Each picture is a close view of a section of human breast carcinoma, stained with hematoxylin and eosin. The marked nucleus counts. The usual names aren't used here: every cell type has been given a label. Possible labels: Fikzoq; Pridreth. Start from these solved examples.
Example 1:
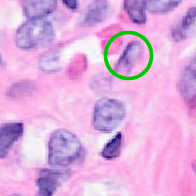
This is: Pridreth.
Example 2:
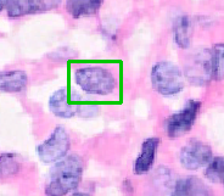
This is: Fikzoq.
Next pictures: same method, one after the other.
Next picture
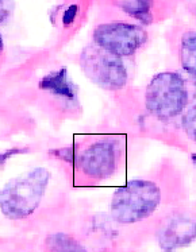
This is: Fikzoq.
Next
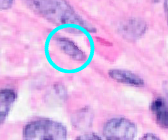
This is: Pridreth.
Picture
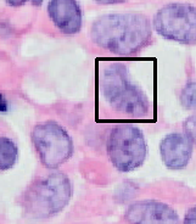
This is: Fikzoq.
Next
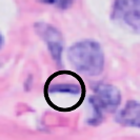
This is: Pridreth.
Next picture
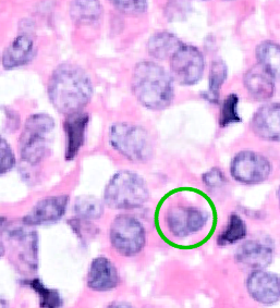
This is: Fikzoq.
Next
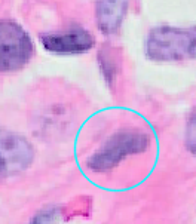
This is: Pridreth.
